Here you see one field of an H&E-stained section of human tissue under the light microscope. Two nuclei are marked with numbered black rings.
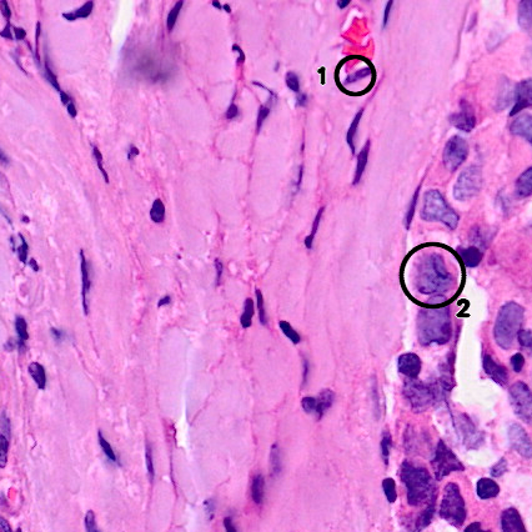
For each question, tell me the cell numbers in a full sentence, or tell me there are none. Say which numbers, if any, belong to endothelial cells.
It is cell 1, and no other numbered cell, that is an endothelial cell.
